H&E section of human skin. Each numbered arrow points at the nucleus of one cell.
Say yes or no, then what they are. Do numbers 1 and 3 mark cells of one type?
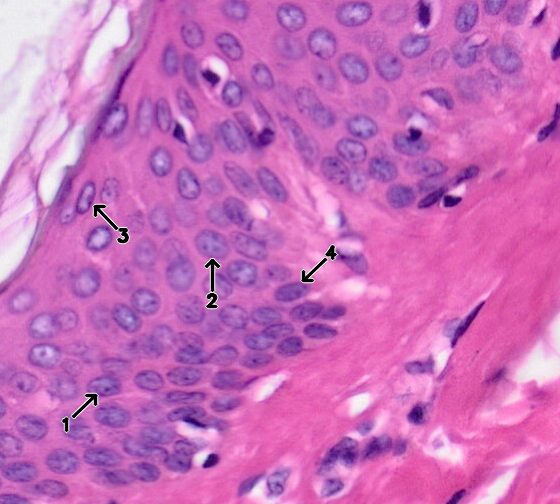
Yes, suprabasal keratinocytes are what cells 1 and 3 both are.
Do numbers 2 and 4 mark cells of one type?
No, not so; cell 2 is a suprabasal keratinocyte and cell 4 is a basal keratinocyte.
